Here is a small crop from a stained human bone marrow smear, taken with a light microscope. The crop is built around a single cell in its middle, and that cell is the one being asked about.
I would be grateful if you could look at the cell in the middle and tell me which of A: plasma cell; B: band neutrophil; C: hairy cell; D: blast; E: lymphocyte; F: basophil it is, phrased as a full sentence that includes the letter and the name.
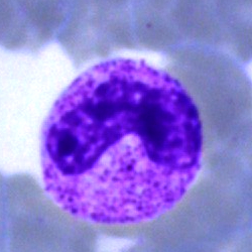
The cell at the centre is a band neutrophil, and option B accordingly is correct.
